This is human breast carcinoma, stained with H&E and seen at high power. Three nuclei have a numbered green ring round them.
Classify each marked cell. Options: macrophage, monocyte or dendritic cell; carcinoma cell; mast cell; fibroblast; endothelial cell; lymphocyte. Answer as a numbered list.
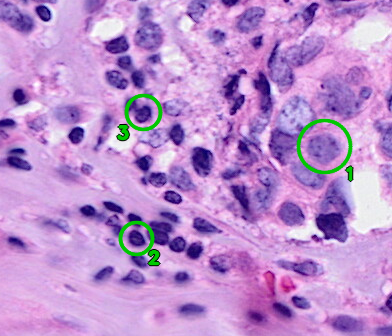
1. carcinoma cell
2. lymphocyte
3. lymphocyte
